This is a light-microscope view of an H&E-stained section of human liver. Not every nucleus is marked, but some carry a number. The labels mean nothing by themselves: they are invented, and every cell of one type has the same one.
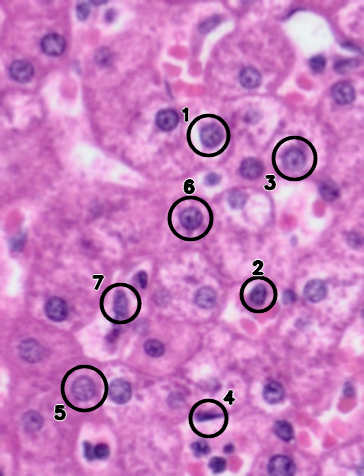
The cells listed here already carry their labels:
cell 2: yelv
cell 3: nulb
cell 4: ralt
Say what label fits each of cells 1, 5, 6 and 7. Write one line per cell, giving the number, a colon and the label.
1: nulb
5: nulb
6: nulb
7: yelv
